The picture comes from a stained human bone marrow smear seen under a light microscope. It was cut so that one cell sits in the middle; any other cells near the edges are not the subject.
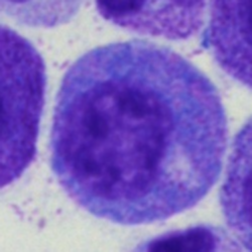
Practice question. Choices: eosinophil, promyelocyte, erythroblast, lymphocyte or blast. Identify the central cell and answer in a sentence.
The cell featured at the centre of this crop is a promyelocyte.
